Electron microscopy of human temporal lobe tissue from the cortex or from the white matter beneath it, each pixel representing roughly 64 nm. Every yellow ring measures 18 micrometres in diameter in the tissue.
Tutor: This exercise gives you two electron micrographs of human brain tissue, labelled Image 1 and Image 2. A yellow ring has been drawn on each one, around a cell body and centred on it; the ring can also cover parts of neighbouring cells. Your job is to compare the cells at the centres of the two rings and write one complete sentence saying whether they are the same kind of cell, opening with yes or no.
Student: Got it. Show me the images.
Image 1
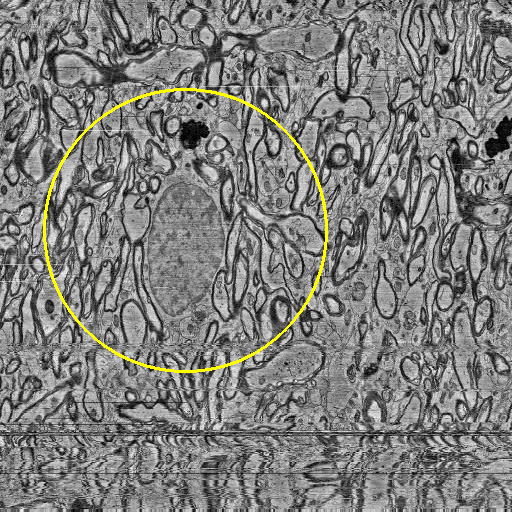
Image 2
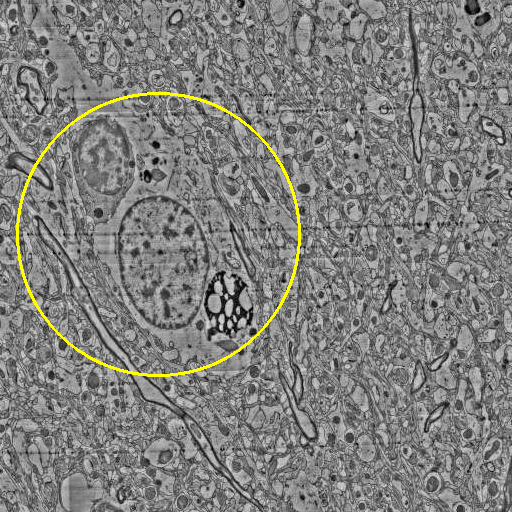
No, the two cells belong to two kinds.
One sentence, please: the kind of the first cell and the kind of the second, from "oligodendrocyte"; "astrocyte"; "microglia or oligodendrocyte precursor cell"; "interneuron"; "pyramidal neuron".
The ring in the first picture surrounds an oligodendrocyte, and the ring in the second surrounds an astrocyte.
